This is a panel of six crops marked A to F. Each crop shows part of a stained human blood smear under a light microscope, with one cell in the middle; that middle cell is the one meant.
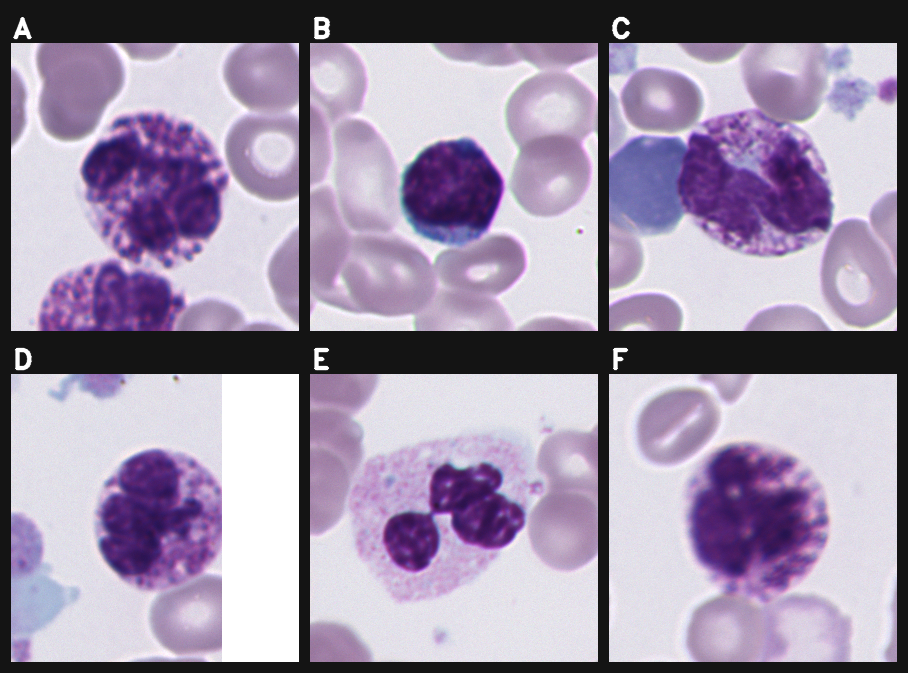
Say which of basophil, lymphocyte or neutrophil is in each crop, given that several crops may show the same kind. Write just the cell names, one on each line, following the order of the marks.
basophil
lymphocyte
basophil
basophil
neutrophil
basophil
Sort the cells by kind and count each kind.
basophil: 4
lymphocyte: 1
neutrophil: 1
